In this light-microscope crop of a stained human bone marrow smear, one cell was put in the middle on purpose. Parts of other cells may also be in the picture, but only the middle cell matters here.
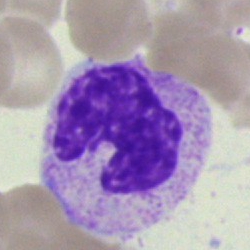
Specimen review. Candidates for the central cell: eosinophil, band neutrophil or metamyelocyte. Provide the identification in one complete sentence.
The centrally positioned cell in the crop represents a band neutrophil.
